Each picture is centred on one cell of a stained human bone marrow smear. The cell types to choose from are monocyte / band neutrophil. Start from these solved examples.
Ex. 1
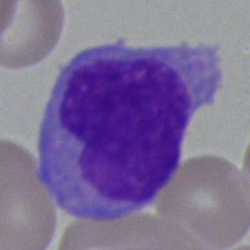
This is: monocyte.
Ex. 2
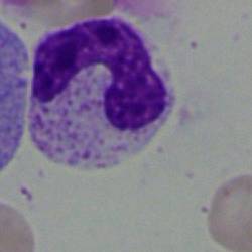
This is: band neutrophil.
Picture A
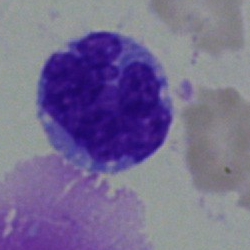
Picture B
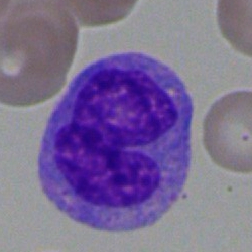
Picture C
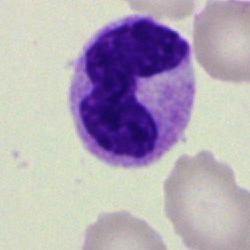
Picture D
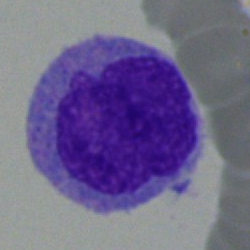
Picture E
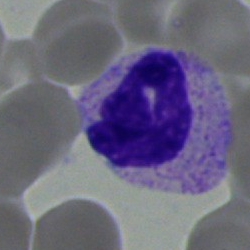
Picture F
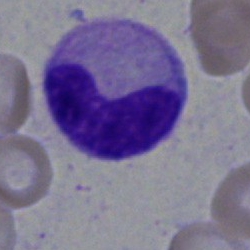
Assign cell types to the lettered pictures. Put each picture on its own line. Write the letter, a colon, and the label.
A: monocyte.
B: monocyte.
C: band neutrophil.
D: monocyte.
E: band neutrophil.
F: band neutrophil.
